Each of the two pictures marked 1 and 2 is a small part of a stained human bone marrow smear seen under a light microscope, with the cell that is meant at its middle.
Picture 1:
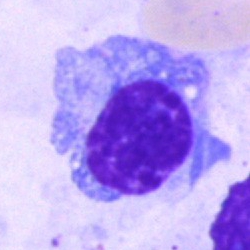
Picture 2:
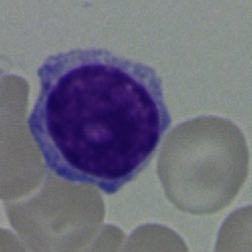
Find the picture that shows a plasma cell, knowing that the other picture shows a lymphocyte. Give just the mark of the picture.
1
